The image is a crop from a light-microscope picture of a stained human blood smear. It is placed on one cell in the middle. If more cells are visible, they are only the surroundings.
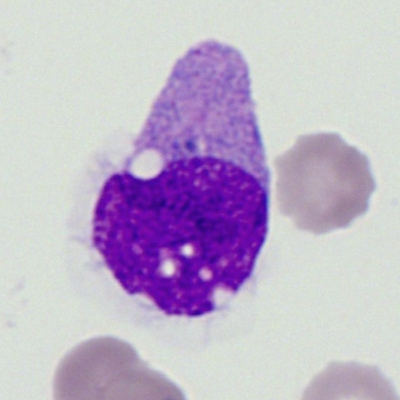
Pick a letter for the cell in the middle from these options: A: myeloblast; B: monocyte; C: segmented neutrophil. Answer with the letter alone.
B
